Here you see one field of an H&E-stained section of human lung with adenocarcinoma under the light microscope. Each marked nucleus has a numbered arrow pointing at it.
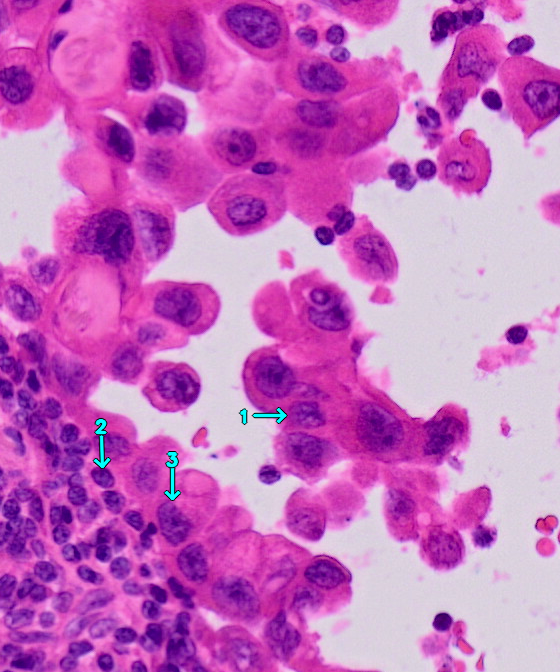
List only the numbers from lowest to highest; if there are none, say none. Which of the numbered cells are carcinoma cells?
1, 3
